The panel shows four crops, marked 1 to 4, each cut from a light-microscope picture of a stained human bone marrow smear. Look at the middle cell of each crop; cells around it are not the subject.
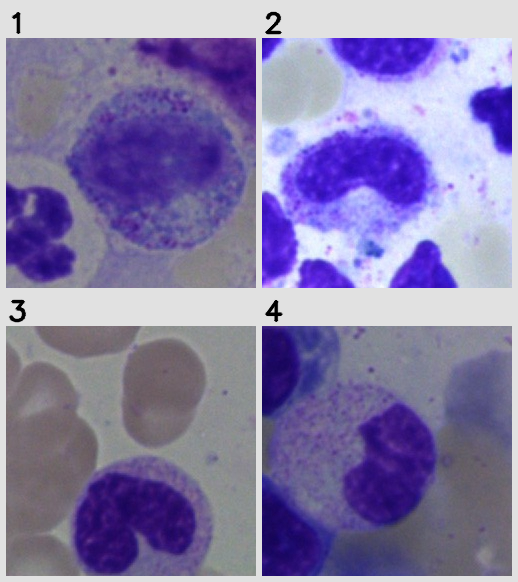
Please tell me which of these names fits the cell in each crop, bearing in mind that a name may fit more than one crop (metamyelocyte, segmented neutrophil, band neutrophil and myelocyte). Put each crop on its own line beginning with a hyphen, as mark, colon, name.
- 1: myelocyte
- 2: band neutrophil
- 3: metamyelocyte
- 4: metamyelocyte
